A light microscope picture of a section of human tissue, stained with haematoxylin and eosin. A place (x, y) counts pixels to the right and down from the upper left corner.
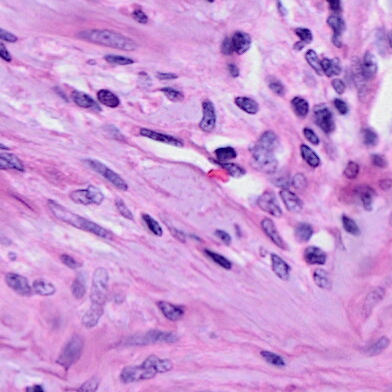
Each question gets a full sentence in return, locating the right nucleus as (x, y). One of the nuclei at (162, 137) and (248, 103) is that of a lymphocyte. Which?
The nucleus at (248, 103) is the one that belongs to a lymphocyte.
